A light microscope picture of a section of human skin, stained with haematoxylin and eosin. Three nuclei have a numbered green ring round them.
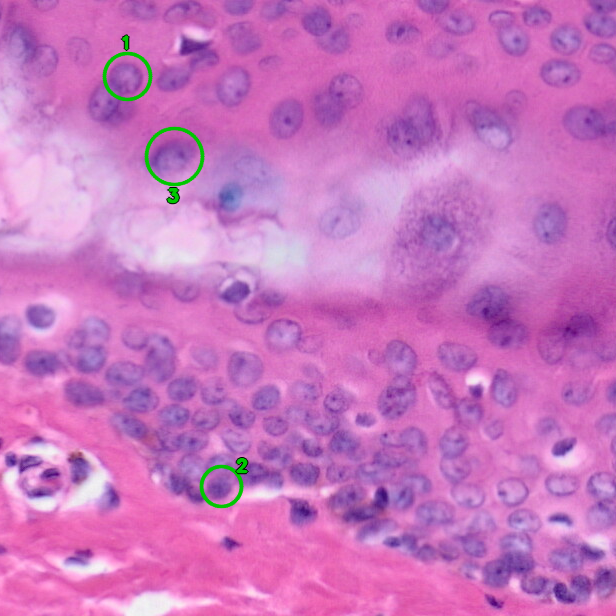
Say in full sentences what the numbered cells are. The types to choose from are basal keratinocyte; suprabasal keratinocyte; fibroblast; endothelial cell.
Cells 1 and 3 are suprabasal keratinocytes. Cell 2 is a basal keratinocyte.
